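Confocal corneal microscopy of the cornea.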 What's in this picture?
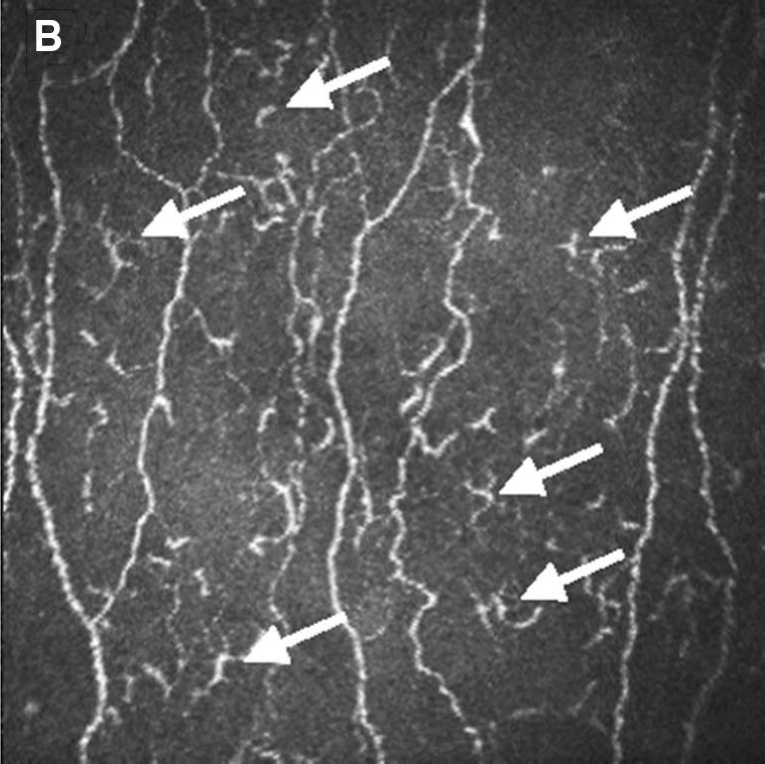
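Several long, thin, beaded bright fibres run roughly in parallel from top to bottom across a dark grey background. Between and beside these fibres lie many small, bright, irregular cells, some with short branching processes. These small bright cells are scattered across the whole field, some touching the fibres and others lying in the spaces between them. The background shows no distinct cell outlines at this depth.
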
